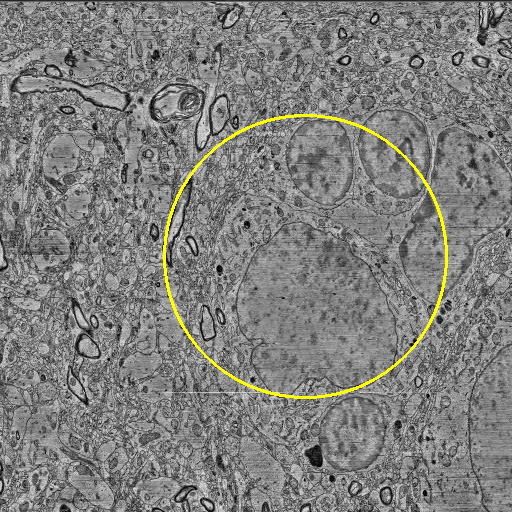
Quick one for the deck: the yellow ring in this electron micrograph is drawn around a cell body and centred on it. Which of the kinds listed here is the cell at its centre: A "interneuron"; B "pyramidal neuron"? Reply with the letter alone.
A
